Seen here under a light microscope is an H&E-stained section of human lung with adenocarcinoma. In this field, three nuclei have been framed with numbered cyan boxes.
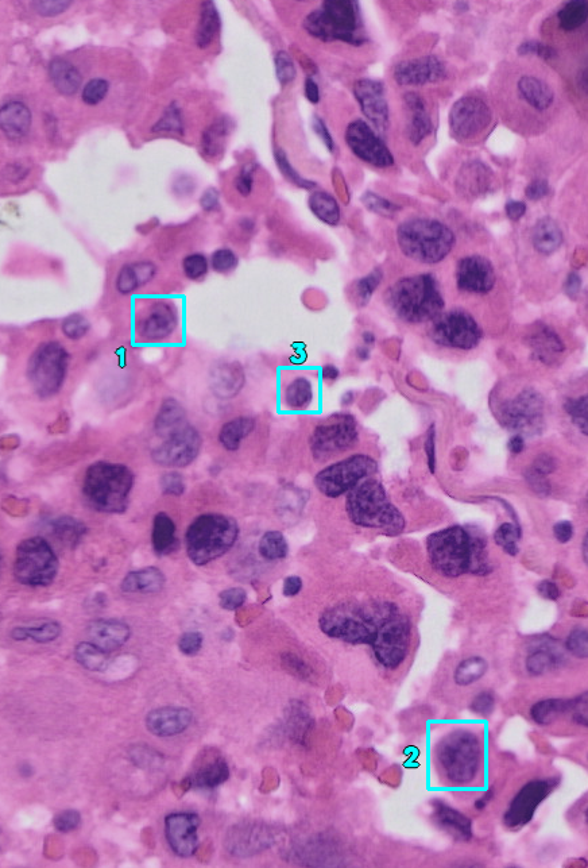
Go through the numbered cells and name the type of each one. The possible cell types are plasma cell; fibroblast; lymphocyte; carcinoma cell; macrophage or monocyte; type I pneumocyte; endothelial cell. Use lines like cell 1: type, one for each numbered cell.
cell 1: macrophage or monocyte
cell 2: carcinoma cell
cell 3: lymphocyte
